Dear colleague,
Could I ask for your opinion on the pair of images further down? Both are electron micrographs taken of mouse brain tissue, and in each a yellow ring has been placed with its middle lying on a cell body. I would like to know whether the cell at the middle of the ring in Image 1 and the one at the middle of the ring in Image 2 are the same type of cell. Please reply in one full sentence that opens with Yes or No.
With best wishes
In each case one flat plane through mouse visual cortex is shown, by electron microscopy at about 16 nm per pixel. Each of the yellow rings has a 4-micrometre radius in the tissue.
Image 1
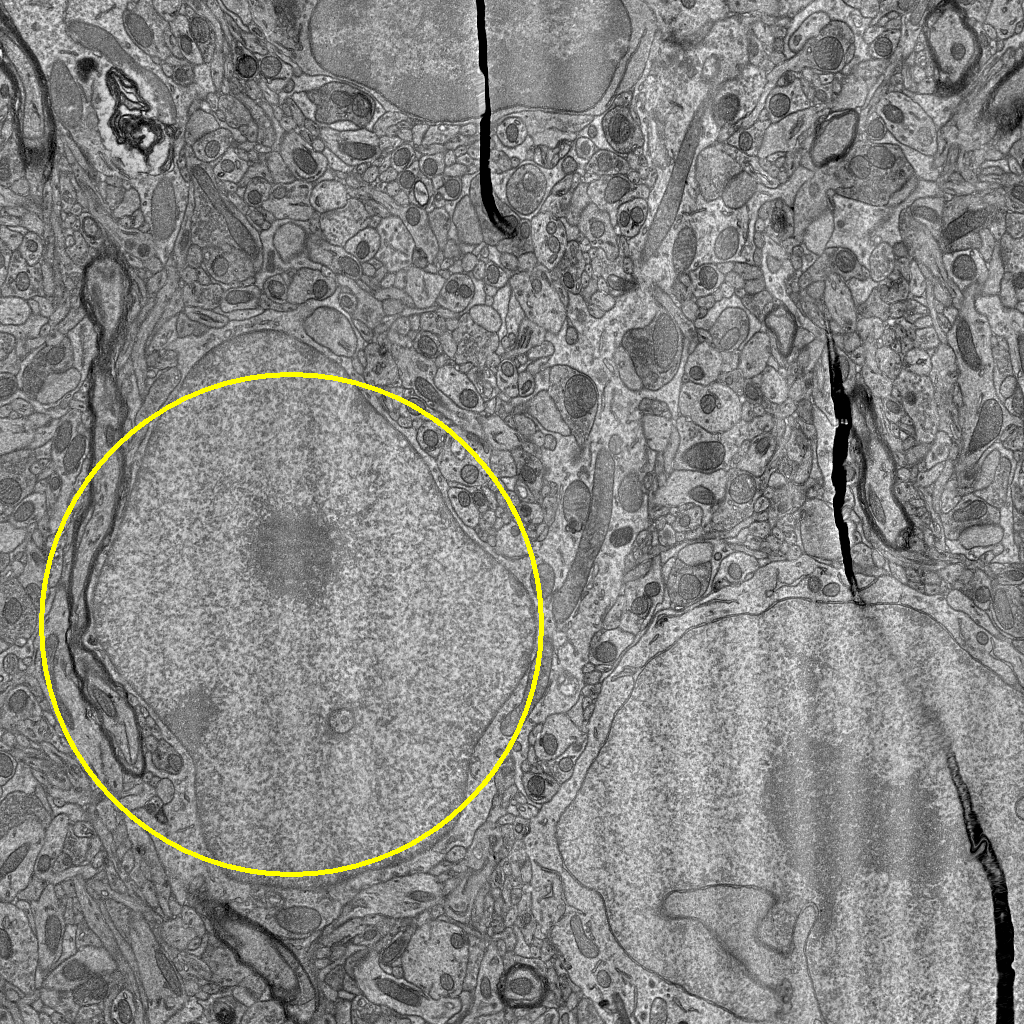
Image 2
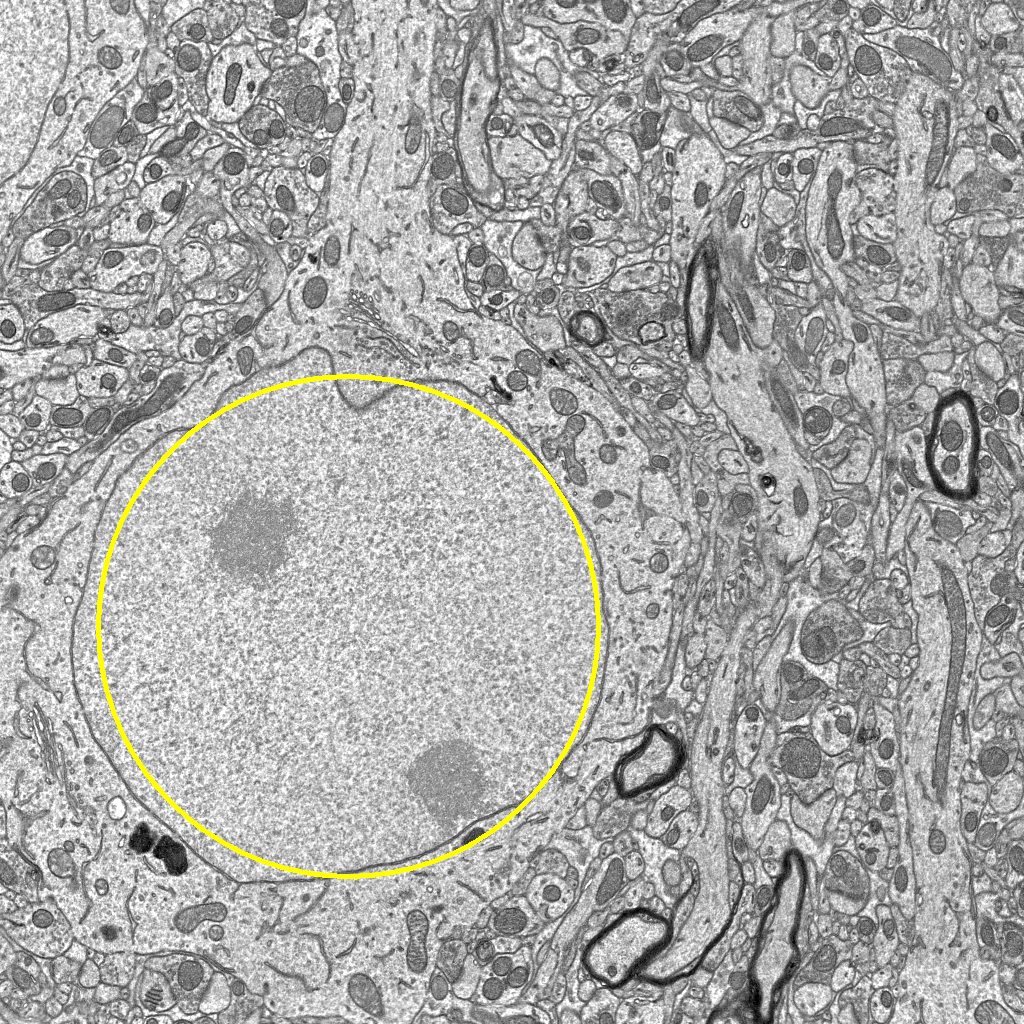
No, the cells at the ring centres in Image 1 and Image 2 are of two types.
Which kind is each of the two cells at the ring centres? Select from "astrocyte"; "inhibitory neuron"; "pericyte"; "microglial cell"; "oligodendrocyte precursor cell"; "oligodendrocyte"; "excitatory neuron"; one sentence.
So the first is an astrocyte, the second an excitatory neuron.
